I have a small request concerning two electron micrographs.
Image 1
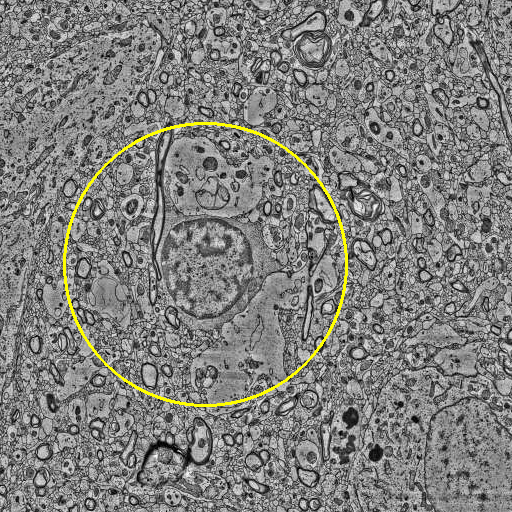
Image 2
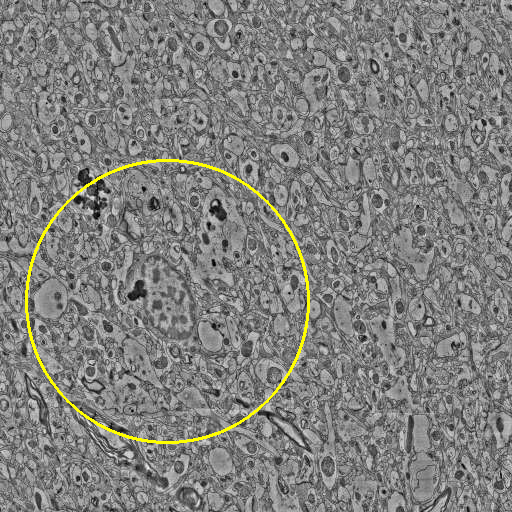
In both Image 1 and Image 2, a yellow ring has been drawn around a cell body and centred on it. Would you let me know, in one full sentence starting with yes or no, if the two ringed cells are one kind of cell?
Yes, the cells ringed in Image 1 and Image 2 are one kind of cell.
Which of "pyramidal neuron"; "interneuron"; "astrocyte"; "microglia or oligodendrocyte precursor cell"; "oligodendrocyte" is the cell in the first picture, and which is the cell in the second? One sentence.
The cell at the ring centre is an oligodendrocyte in both pictures.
